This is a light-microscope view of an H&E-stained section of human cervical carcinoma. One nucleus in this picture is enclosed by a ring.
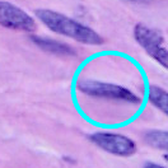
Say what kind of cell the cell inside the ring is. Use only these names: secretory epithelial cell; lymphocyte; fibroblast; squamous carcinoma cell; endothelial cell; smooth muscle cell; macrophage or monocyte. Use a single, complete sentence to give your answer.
Recorded by type, the cell inside the ring is a fibroblast.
